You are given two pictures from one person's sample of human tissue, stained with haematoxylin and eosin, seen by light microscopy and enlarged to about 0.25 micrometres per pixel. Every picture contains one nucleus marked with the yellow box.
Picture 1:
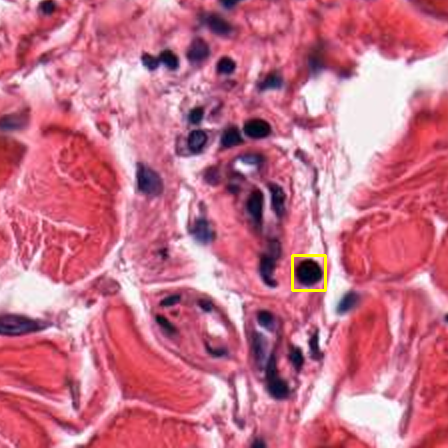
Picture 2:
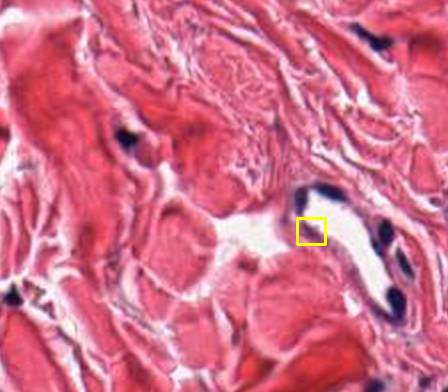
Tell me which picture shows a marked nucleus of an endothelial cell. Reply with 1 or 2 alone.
2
